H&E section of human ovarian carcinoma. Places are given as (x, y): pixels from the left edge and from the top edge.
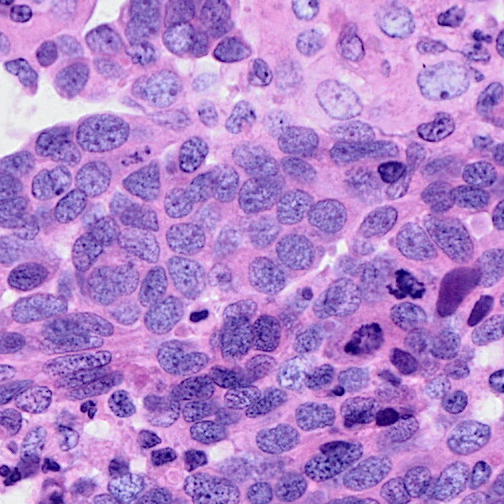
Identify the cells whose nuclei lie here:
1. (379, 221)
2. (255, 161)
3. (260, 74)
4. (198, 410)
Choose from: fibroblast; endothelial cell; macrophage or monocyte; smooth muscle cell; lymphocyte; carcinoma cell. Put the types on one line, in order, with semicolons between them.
carcinoma cell; carcinoma cell; macrophage or monocyte; carcinoma cell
